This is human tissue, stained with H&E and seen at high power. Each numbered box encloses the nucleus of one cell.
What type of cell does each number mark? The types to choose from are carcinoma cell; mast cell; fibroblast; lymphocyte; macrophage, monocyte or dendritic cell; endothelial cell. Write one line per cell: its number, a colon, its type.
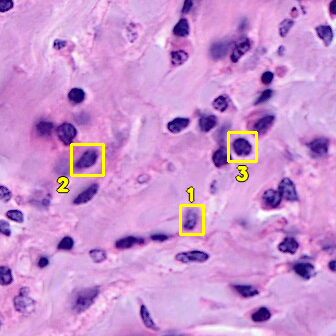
1: mast cell
2: lymphocyte
3: lymphocyte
